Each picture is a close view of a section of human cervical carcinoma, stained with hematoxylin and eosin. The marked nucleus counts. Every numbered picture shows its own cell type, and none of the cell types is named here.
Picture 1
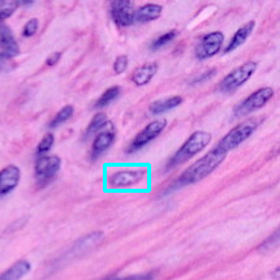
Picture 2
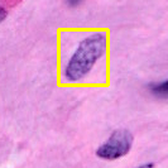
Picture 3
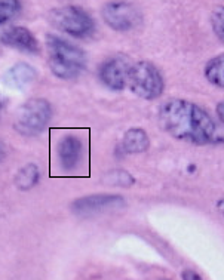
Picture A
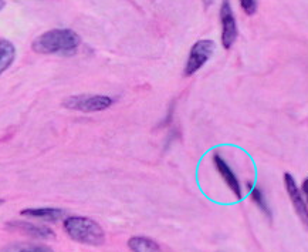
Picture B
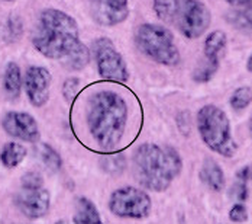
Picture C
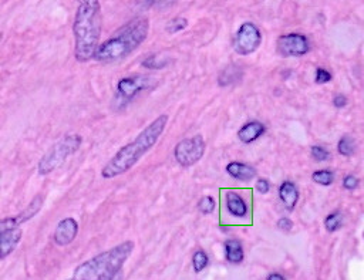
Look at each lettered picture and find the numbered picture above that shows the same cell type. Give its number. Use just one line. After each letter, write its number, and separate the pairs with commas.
A 2, B 3, C 1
